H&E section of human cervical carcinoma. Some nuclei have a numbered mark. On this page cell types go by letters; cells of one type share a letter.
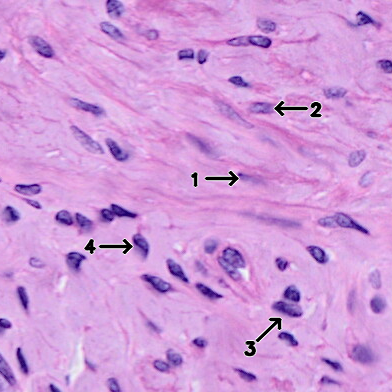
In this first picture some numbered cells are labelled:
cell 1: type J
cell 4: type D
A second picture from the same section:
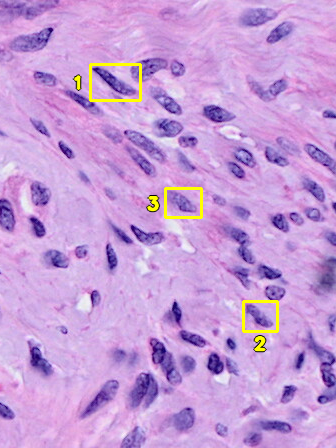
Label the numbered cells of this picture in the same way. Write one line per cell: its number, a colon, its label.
1: type D
2: type D
3: type J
